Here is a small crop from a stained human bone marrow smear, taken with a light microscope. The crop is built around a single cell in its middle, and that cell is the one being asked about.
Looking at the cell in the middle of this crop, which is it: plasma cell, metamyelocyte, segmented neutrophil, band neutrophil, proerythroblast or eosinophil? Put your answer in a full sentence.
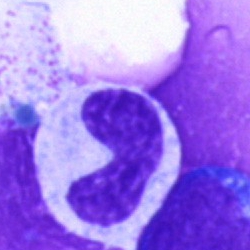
The cell shown in the center of this light-microscope crop is a band neutrophil.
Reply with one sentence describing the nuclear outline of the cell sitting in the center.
See how the nucleus sits as one compact round, oval or kidney-shaped mass.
